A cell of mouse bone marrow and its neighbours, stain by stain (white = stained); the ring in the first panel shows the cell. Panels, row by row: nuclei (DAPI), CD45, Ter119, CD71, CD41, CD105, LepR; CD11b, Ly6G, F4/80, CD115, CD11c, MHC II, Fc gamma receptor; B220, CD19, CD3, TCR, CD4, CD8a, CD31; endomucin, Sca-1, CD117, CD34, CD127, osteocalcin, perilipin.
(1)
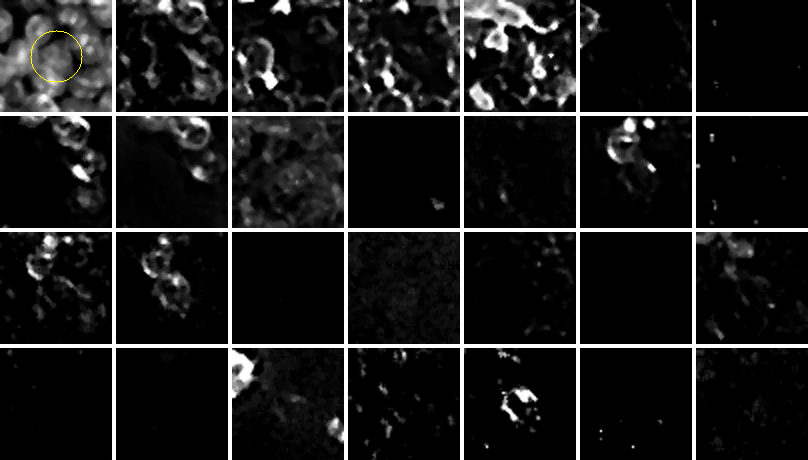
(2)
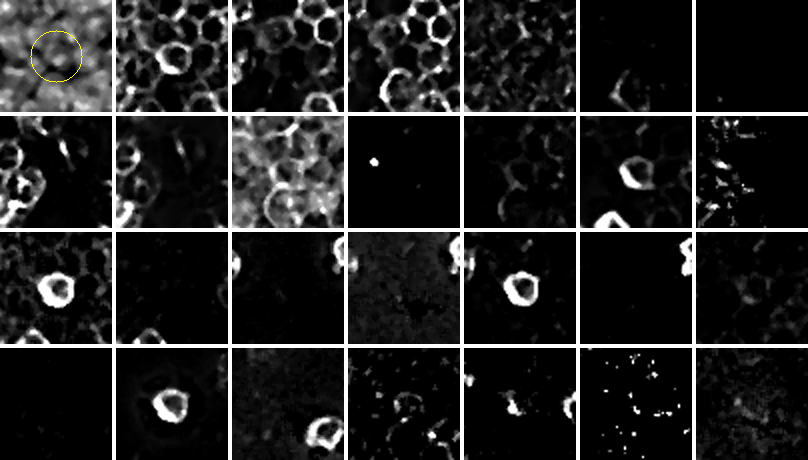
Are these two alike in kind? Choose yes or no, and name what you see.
Yes. Common lymphoid progenitors.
